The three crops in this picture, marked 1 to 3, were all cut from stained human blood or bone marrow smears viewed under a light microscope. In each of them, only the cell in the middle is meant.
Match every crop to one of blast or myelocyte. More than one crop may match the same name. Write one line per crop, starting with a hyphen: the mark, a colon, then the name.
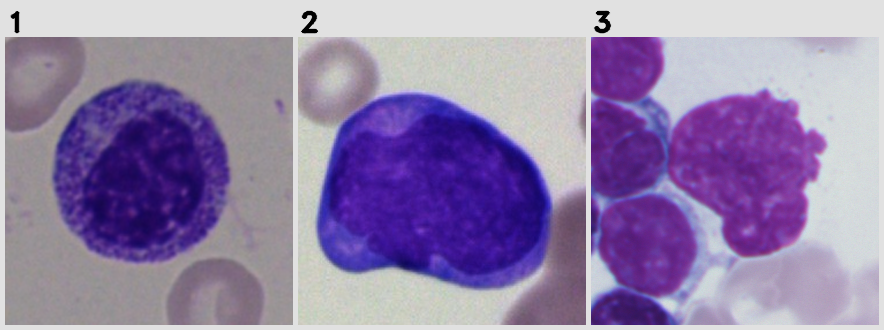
- 1: myelocyte
- 2: blast
- 3: blast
